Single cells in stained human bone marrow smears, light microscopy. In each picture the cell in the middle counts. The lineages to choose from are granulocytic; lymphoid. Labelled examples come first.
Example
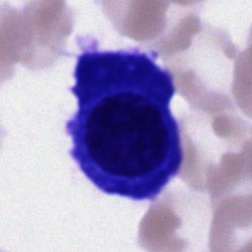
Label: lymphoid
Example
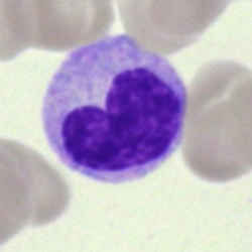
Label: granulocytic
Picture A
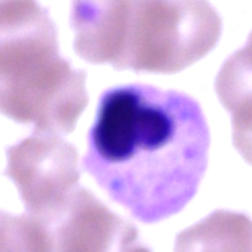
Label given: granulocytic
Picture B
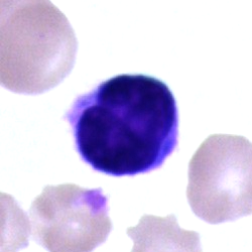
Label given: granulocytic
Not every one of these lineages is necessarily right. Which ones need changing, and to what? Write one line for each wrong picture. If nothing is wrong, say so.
Wrong: B (granulocytic); correct: lymphoid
